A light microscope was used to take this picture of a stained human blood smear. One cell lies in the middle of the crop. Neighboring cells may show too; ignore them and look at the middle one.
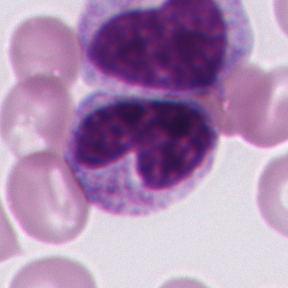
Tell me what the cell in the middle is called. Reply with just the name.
band neutrophil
